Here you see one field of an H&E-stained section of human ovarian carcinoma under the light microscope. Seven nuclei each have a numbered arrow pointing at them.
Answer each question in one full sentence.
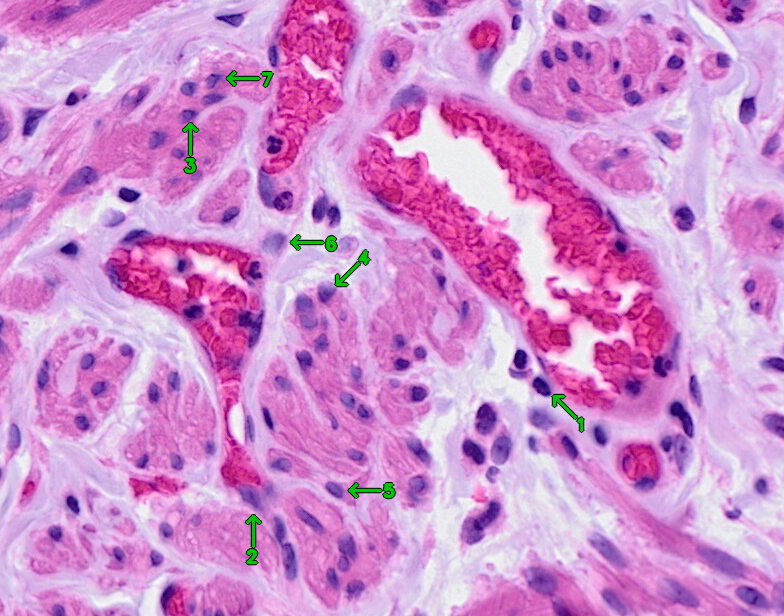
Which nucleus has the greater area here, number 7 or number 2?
At about 3 times the area of nucleus 7, nucleus 2 is the larger of the two.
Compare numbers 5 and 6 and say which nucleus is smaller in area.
It is nucleus 5; nucleus 6 has about 2 times its area.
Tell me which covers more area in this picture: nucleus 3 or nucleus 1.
Nucleus 1 is the larger one, covering about 2 times the area of nucleus 3.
